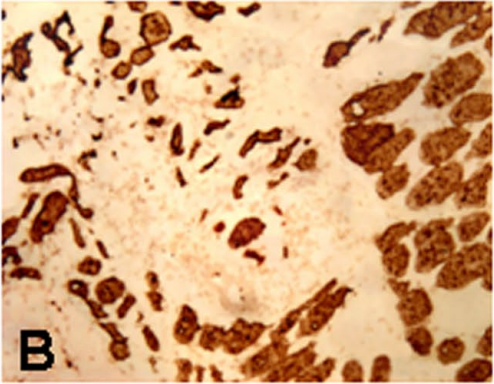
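This cross-section of skeletal muscle shows many brown-stained fibers of very uneven size. On the left, numerous fibers are small, narrow and angular, some elongated or crescent-shaped. On the right, larger polygonal fibers lie packed together in a group. Between them is a paler area with few fibers.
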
